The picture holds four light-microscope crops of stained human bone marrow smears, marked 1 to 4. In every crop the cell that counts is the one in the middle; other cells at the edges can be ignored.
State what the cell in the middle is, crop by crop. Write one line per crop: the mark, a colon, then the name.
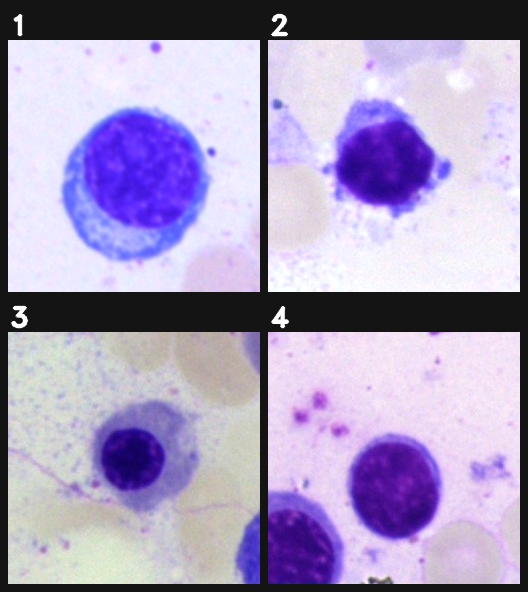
1: lymphocyte
2: lymphocyte
3: erythroblast
4: lymphocyte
